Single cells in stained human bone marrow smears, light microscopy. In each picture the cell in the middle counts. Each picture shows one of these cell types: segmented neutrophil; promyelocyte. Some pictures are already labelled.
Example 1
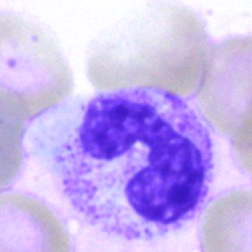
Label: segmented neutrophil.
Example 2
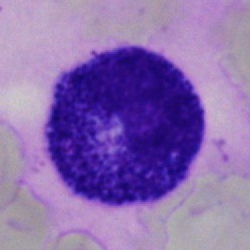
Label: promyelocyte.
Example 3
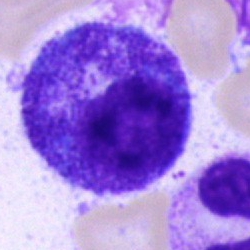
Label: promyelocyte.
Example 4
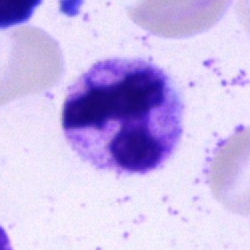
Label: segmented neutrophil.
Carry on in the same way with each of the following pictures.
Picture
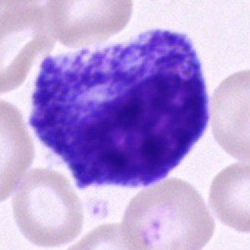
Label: promyelocyte.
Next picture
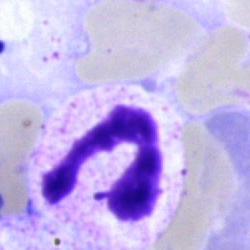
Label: segmented neutrophil.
